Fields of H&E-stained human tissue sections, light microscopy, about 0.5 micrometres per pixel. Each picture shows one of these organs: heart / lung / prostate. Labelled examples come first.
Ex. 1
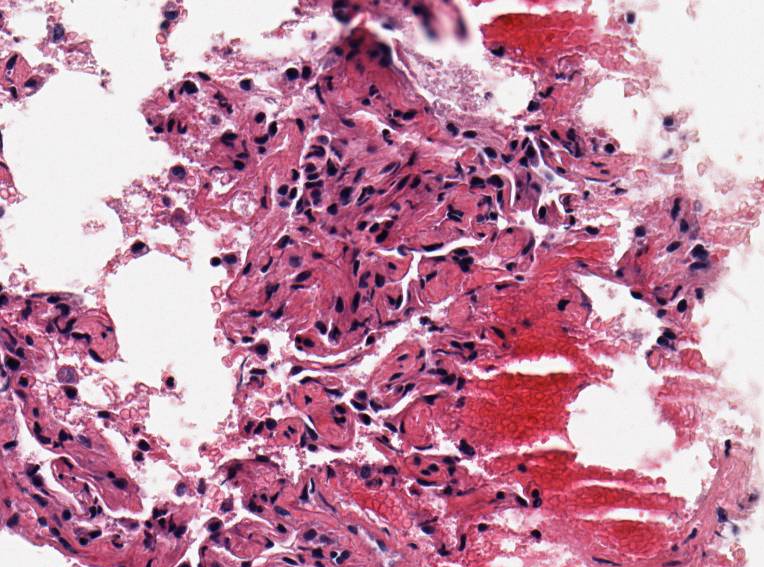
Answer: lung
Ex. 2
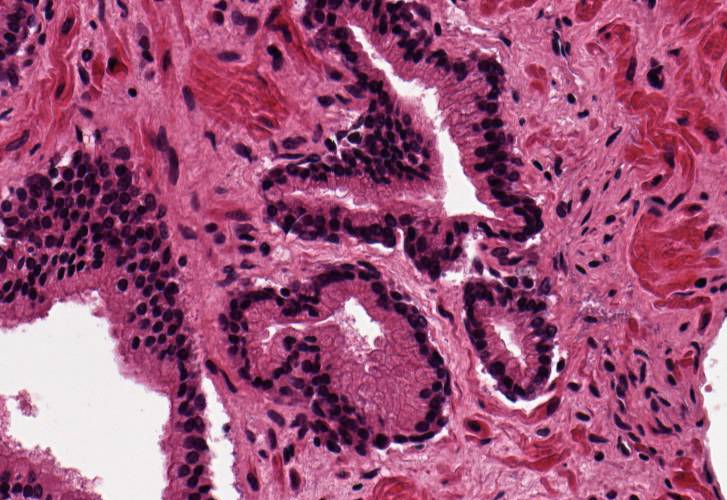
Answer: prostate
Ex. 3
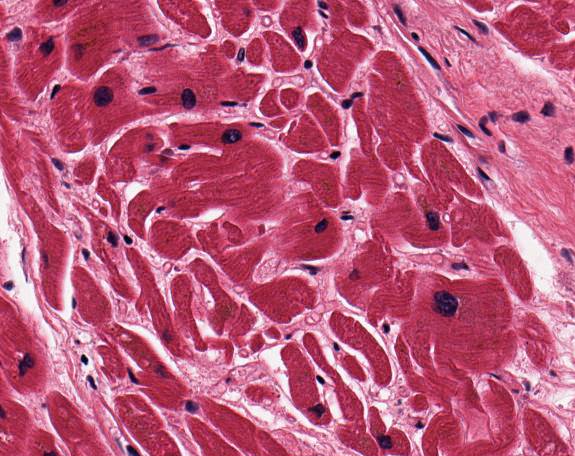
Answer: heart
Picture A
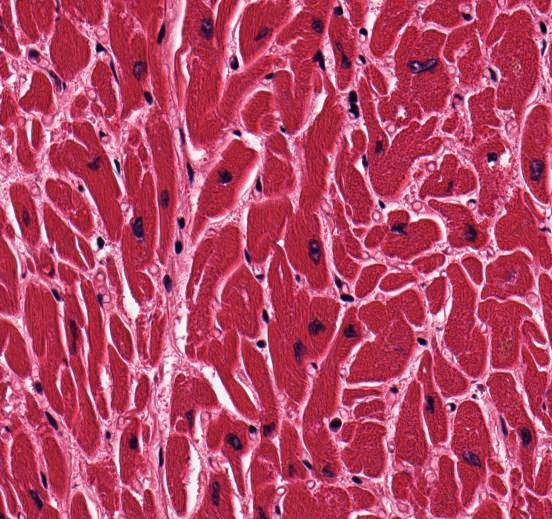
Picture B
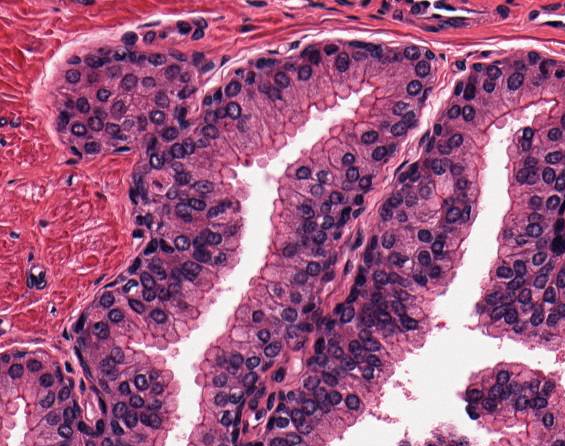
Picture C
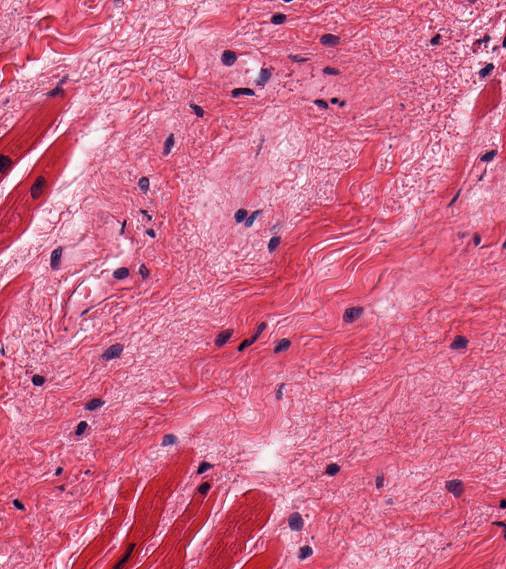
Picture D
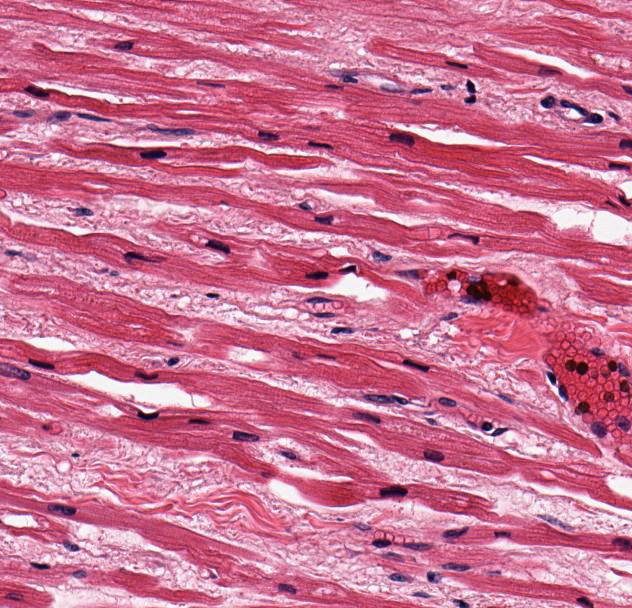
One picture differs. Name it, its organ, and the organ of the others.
Different: B, prostate. Others: heart.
